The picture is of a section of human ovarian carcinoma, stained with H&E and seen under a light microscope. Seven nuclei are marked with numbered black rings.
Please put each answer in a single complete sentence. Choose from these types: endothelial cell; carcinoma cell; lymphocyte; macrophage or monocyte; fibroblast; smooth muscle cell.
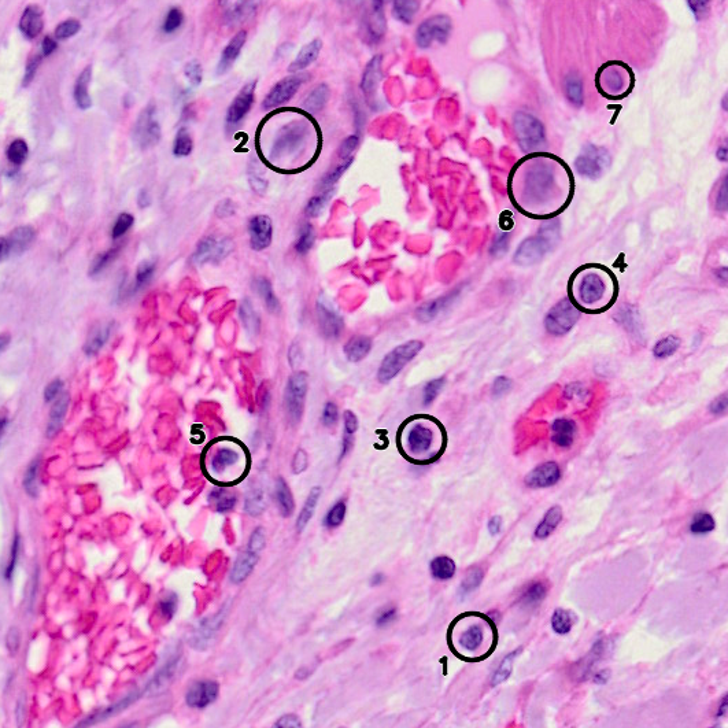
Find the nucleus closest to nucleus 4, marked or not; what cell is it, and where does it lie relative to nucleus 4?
Lying below and to the left of nucleus 4, the nearest nucleus is that of a macrophage or monocyte.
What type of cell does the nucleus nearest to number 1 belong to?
Closest to number 1 lies the nucleus of a lymphocyte.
